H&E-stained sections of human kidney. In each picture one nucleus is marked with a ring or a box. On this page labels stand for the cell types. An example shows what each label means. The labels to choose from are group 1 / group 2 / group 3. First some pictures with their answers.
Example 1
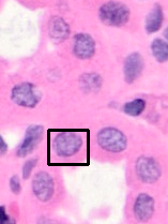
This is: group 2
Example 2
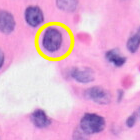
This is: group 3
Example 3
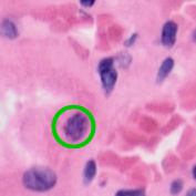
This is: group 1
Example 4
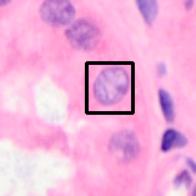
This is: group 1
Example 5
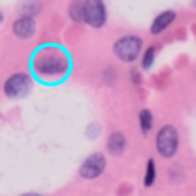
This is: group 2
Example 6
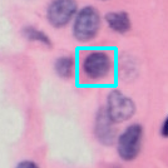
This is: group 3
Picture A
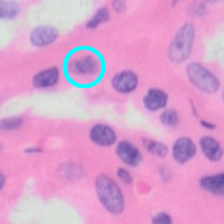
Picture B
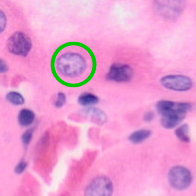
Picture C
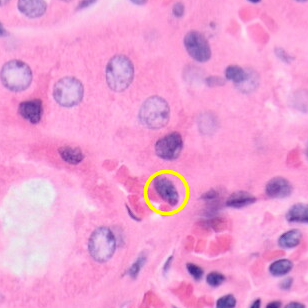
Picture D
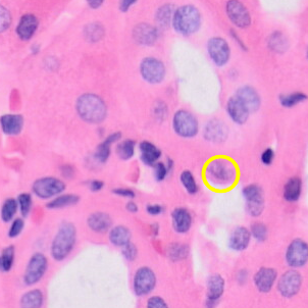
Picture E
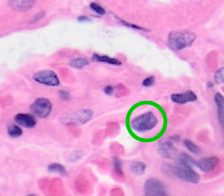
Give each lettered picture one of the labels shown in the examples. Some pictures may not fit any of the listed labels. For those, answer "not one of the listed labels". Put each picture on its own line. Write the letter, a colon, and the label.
A: group 3
B: group 1
C: not one of the listed labels
D: group 2
E: not one of the listed labels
